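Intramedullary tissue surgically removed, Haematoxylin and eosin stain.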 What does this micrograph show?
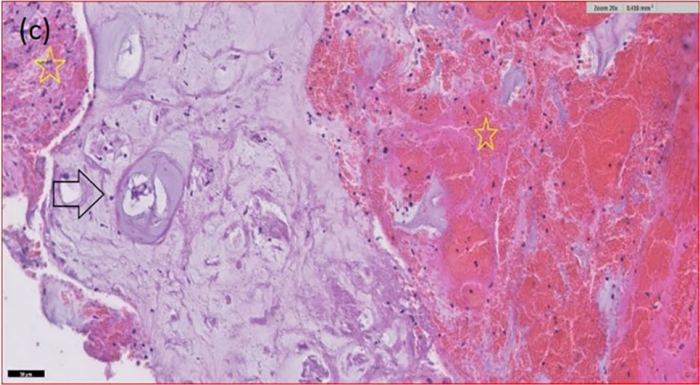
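Fragments of degenerate cartilaginous tissue lie beside abundant fibrinohemorrhagic material. On the left, a pale lilac, glassy matrix holds scattered cells and a rounded lacuna with a thick rim, while the right side and upper left corner are filled with bright red, amorphous, streaky material containing scattered small dark nuclei.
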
